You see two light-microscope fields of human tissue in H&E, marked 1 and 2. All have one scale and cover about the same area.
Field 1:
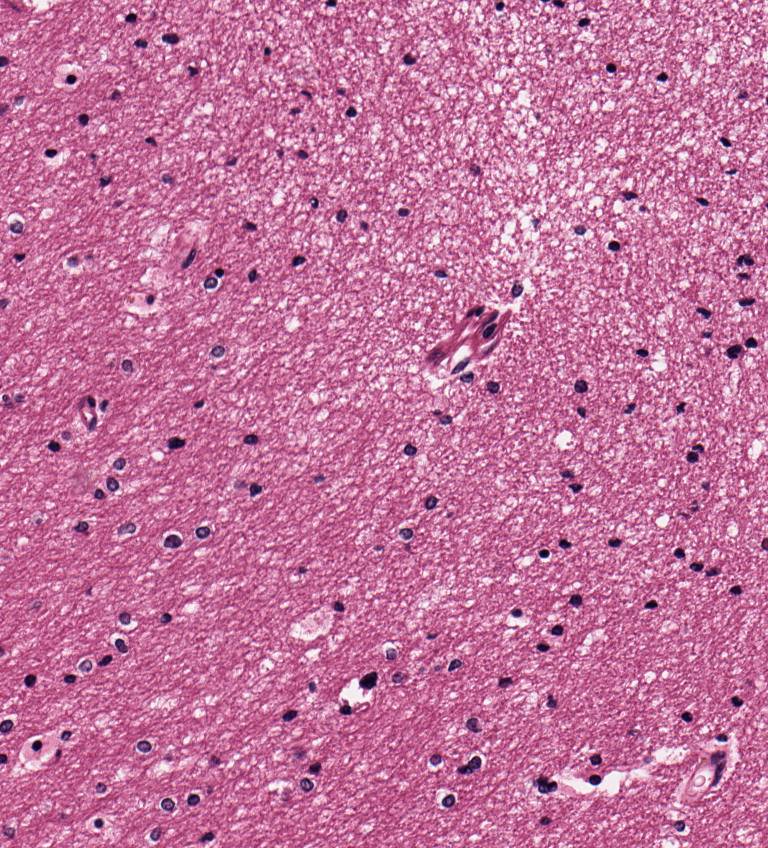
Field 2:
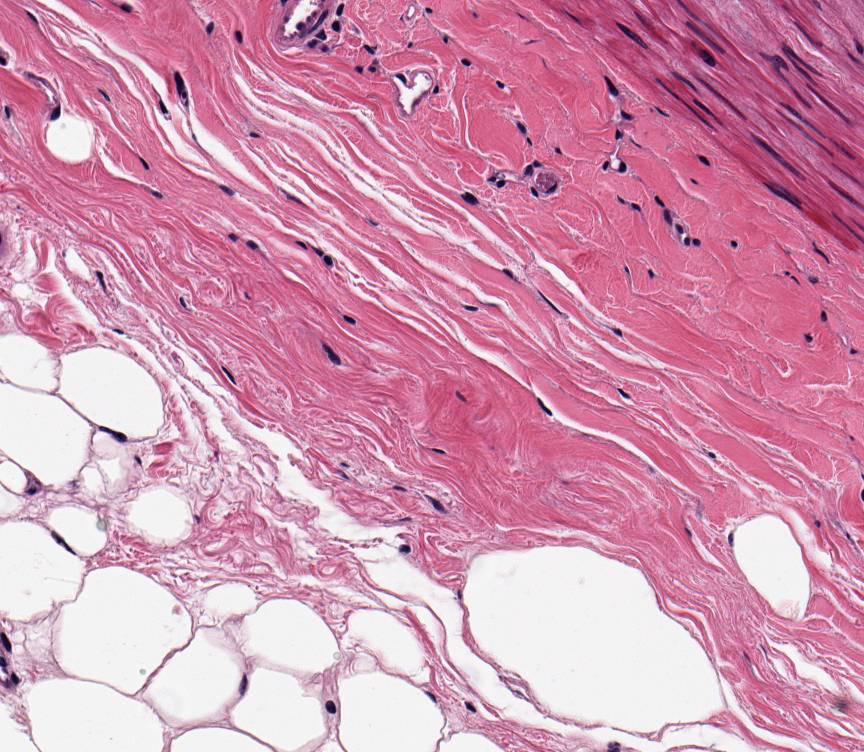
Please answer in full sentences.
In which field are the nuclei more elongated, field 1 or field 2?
The nuclei are more elongated in field 2.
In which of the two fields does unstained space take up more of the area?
Field 2 has more white space.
